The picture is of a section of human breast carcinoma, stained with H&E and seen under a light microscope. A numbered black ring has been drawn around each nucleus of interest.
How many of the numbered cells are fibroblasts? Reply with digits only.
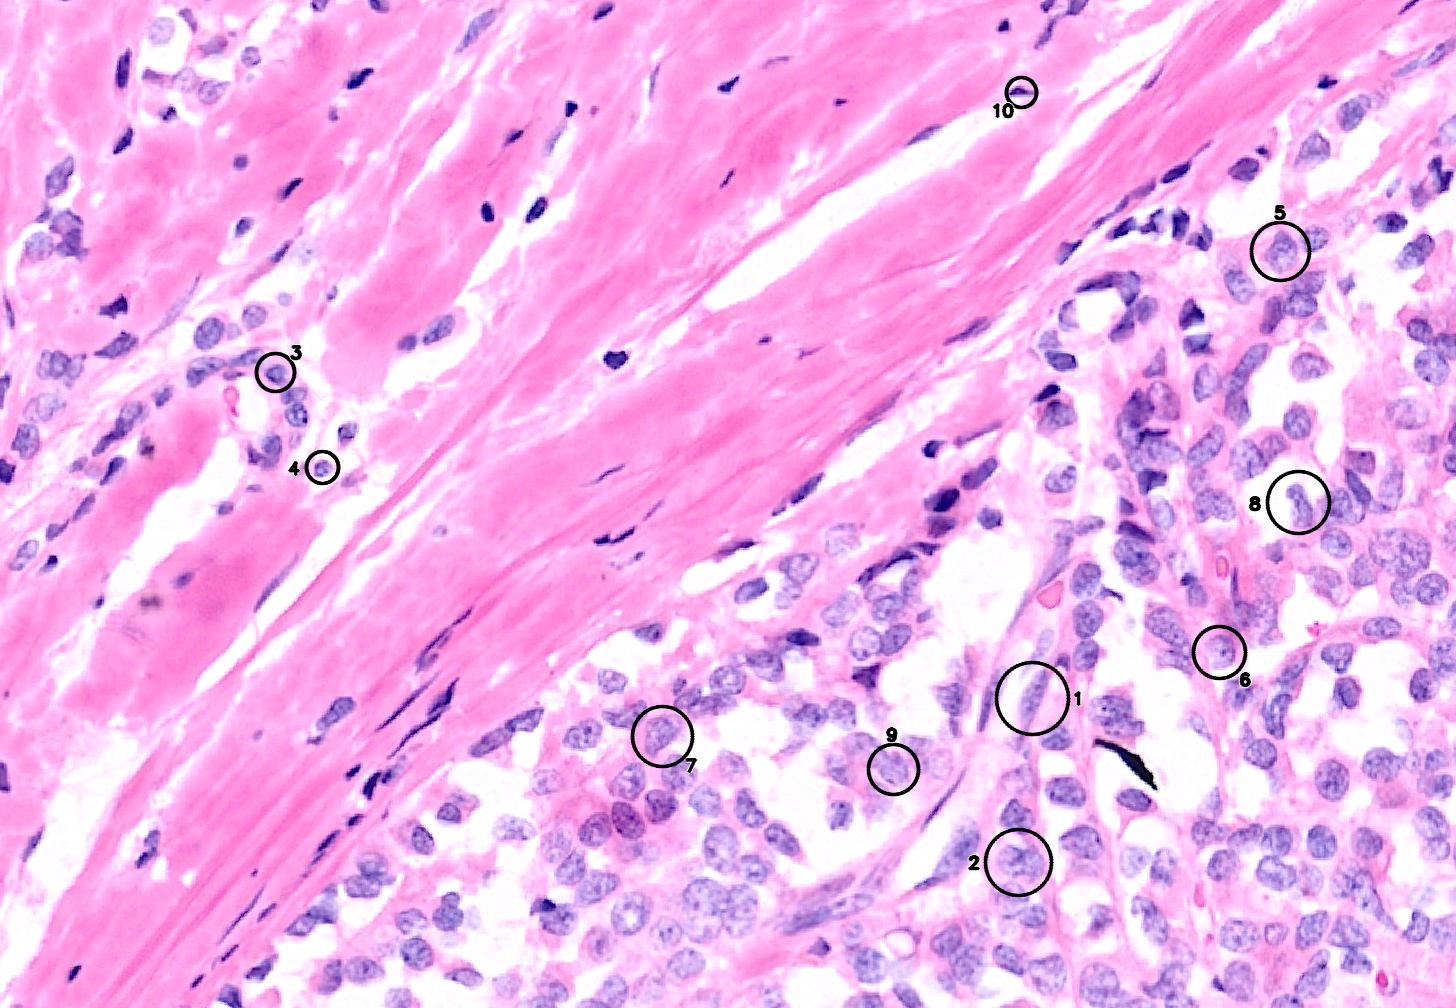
1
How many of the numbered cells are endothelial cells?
2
